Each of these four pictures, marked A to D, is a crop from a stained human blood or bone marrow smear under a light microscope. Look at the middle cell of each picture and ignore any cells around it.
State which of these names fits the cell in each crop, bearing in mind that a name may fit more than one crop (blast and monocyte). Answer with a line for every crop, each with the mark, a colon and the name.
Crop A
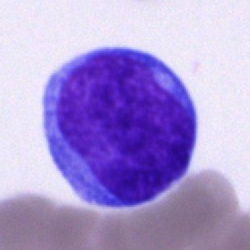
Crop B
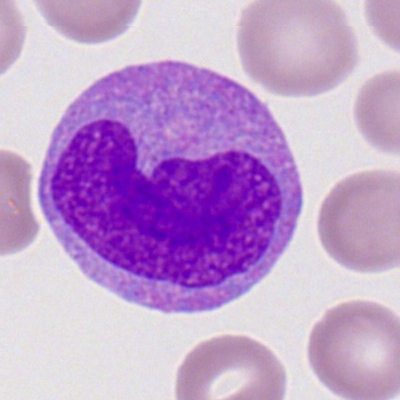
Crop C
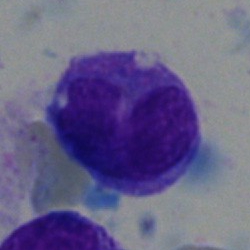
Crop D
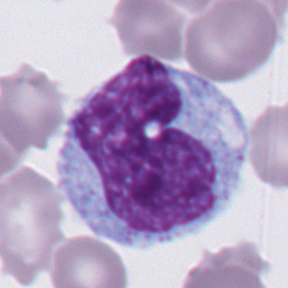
A: blast
B: monocyte
C: monocyte
D: monocyte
